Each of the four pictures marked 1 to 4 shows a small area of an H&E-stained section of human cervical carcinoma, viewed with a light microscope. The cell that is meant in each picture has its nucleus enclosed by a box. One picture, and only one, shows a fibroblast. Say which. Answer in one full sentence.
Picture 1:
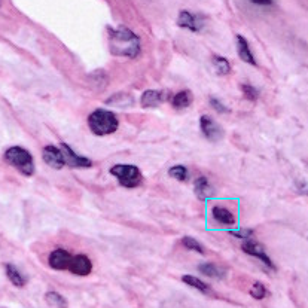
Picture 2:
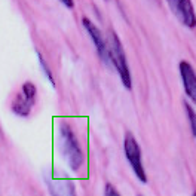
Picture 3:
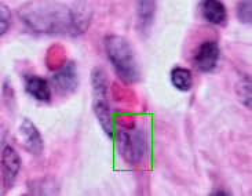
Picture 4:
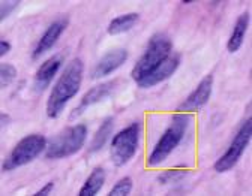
The fibroblast is the one in picture 4.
